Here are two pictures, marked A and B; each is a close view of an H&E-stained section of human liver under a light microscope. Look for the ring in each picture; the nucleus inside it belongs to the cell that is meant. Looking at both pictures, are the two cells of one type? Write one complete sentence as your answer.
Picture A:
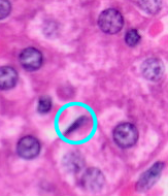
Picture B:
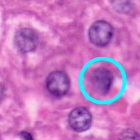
Yes, both are endothelial cells.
